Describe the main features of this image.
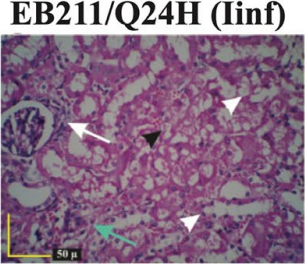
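Kidney cortex with proximal-looking tubules and glomeruli. Many tubular epithelial cells show pale, clear, vacuolated cytoplasm, the pink cytoplasm broken up and unevenly stained; some tubules have lost distinct cell outlines and nuclei. Between tubules, small dark purple nuclei gather in the interstitium, marking infiltrating inflammatory cells. Tubular lumina are irregular and the overall architecture is disordered compared with a regular cortex.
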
